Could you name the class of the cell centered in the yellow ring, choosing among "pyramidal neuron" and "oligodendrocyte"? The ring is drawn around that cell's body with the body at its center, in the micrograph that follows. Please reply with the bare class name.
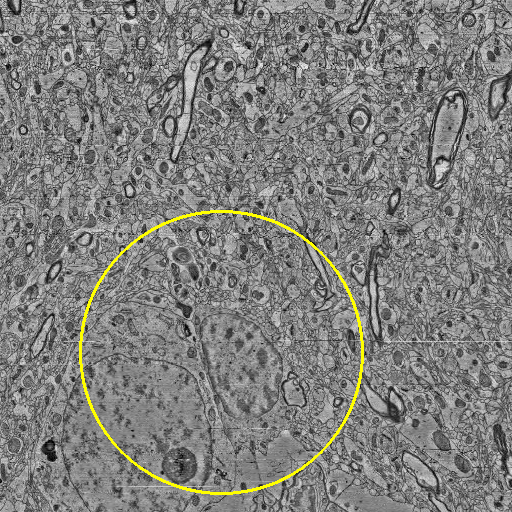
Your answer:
oligodendrocyte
